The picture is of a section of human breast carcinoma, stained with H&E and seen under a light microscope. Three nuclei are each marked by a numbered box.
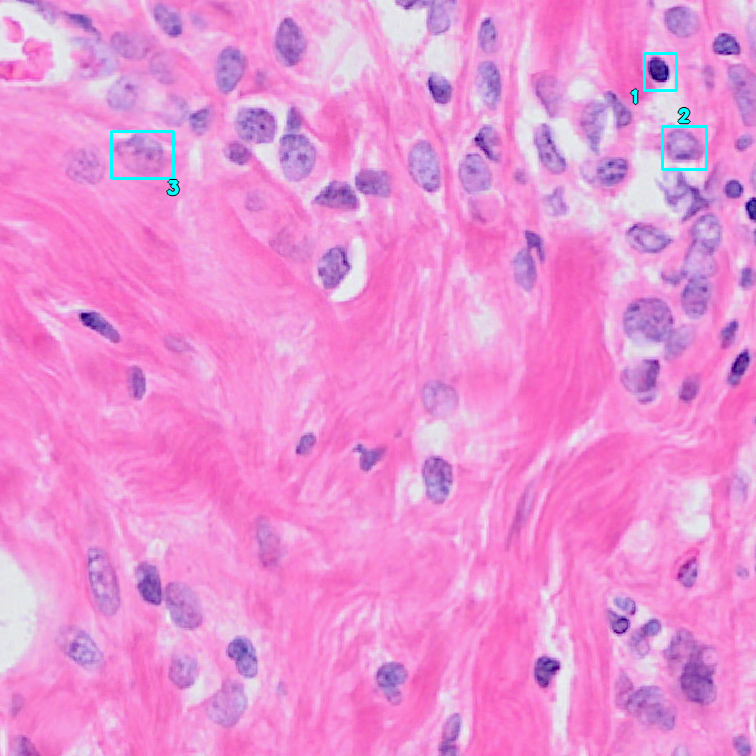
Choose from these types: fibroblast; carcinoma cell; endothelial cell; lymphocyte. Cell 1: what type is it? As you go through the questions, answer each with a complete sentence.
The cell numbered 1 represents a lymphocyte.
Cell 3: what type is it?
The identity of cell 3 is that of a fibroblast.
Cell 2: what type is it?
The cell whose nucleus carries the number 2 is a carcinoma cell.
